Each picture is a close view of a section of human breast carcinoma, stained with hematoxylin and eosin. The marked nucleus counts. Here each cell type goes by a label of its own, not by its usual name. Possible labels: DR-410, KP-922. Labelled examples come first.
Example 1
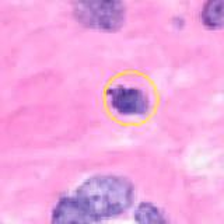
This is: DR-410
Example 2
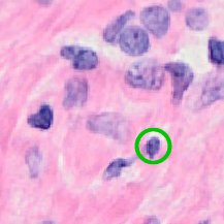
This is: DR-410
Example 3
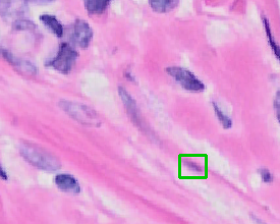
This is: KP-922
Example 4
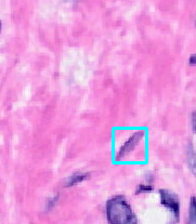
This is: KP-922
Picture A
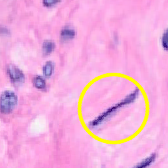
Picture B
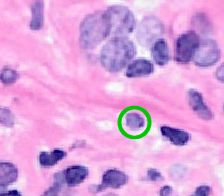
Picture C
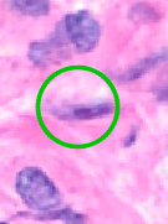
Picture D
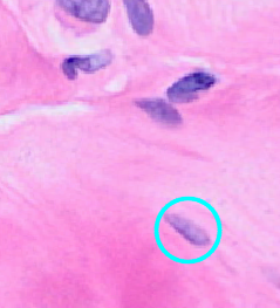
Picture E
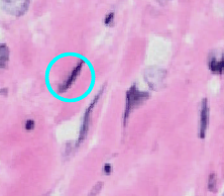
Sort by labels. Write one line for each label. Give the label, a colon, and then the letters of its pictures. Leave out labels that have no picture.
DR-410: B
KP-922: A, C, D, E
